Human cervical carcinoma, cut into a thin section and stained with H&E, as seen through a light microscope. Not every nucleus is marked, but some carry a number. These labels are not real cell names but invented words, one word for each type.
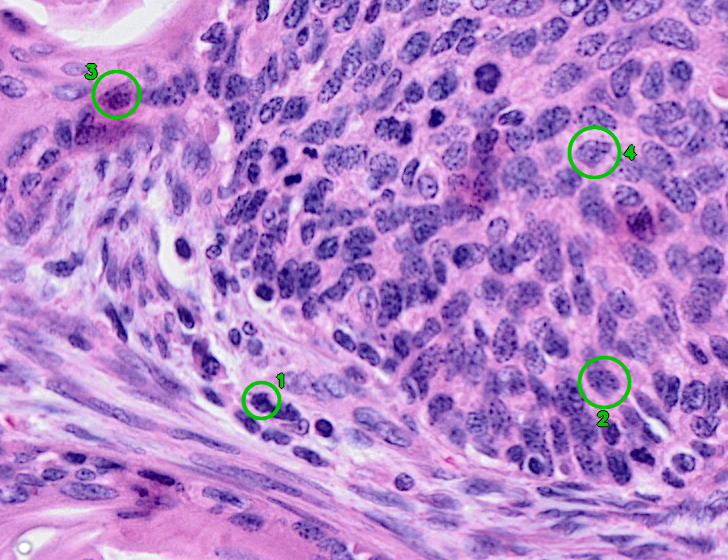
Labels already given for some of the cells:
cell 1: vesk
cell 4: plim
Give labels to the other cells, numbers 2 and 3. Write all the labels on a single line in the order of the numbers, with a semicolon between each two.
plim; plim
